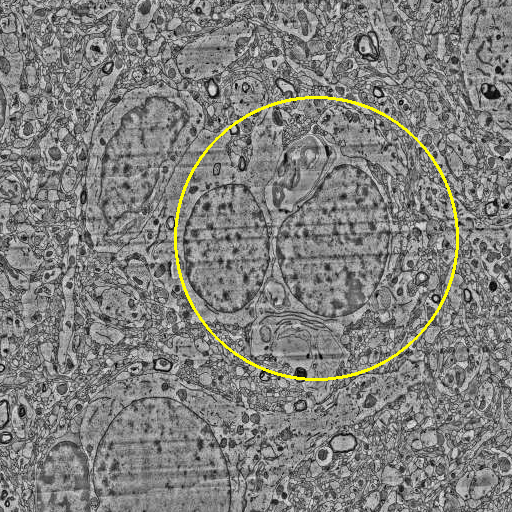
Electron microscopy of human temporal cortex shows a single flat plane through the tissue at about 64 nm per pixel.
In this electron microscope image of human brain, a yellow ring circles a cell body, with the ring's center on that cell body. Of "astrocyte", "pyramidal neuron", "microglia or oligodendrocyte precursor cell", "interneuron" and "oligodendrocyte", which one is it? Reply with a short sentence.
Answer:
It is an astrocyte at the center of the ring.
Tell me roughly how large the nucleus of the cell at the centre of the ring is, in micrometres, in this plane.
In this plane, roughly 10 by 7 micrometres.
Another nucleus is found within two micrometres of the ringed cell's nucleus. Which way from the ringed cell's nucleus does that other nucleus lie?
The other nucleus lies to the left of it.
